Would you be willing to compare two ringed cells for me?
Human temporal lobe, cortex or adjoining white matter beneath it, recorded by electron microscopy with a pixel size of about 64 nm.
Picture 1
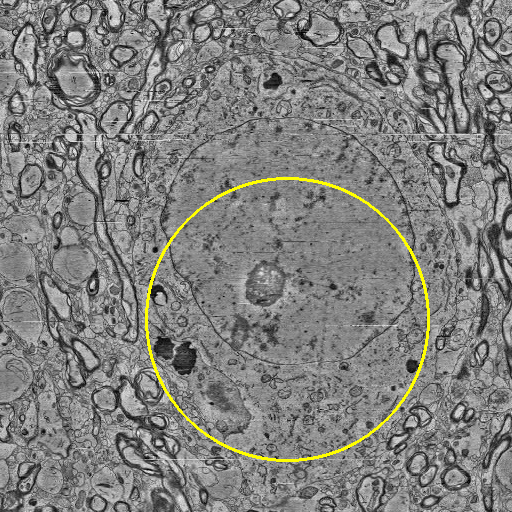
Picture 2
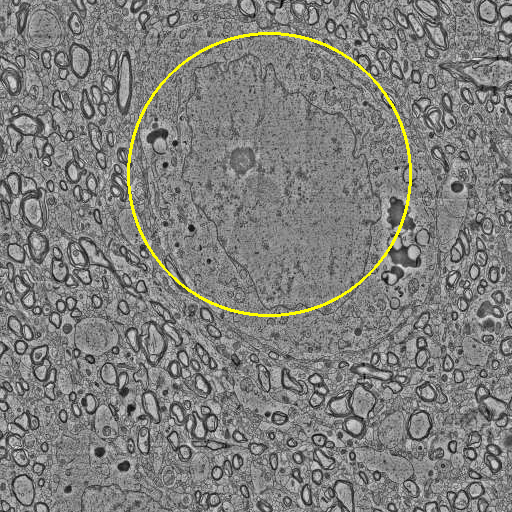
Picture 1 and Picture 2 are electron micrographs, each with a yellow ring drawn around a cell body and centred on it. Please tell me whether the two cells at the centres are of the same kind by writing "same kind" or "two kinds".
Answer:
same kind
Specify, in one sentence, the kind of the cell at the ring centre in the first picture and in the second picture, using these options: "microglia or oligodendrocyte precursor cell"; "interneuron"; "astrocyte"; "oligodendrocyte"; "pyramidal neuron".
The ring centre holds a pyramidal neuron in each of the two pictures.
